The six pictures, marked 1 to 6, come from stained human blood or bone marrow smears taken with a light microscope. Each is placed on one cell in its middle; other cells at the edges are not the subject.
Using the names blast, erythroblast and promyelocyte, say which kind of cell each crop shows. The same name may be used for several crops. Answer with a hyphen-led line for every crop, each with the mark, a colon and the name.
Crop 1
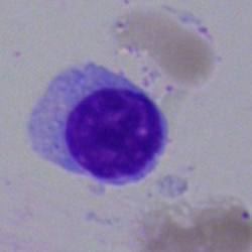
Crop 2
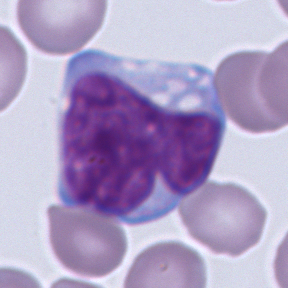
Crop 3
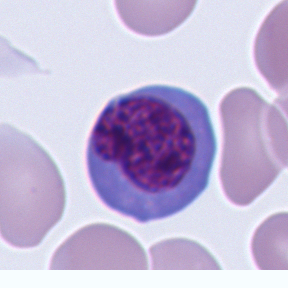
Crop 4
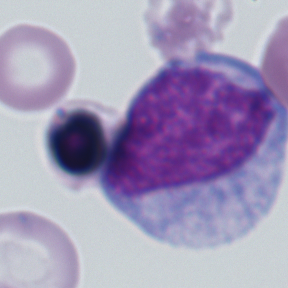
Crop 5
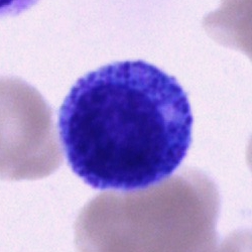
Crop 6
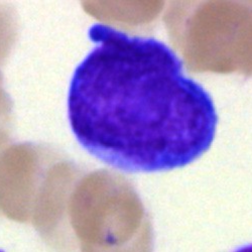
- 1: erythroblast
- 2: blast
- 3: erythroblast
- 4: promyelocyte
- 5: promyelocyte
- 6: blast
